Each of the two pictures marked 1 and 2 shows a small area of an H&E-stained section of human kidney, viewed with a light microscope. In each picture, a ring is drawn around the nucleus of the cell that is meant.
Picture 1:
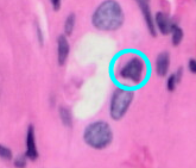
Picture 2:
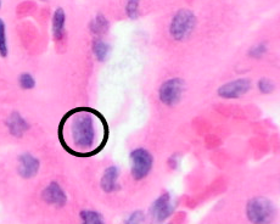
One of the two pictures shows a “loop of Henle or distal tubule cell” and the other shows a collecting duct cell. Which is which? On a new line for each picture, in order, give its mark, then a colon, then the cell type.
1: collecting duct cell
2: loop of Henle or distal tubule cell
